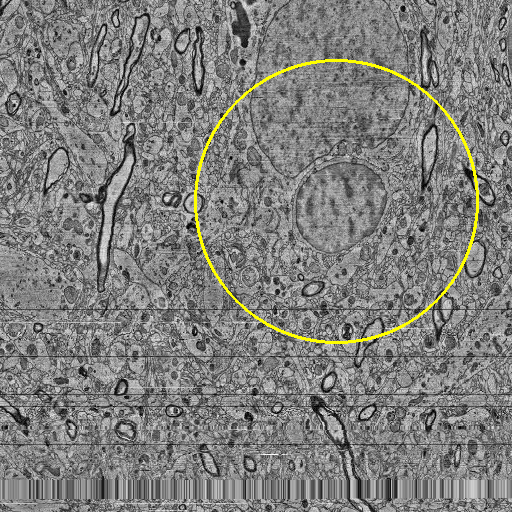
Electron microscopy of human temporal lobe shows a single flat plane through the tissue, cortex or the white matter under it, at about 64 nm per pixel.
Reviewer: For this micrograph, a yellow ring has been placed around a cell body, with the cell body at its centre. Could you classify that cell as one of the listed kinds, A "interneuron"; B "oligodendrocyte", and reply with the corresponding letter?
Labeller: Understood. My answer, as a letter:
B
